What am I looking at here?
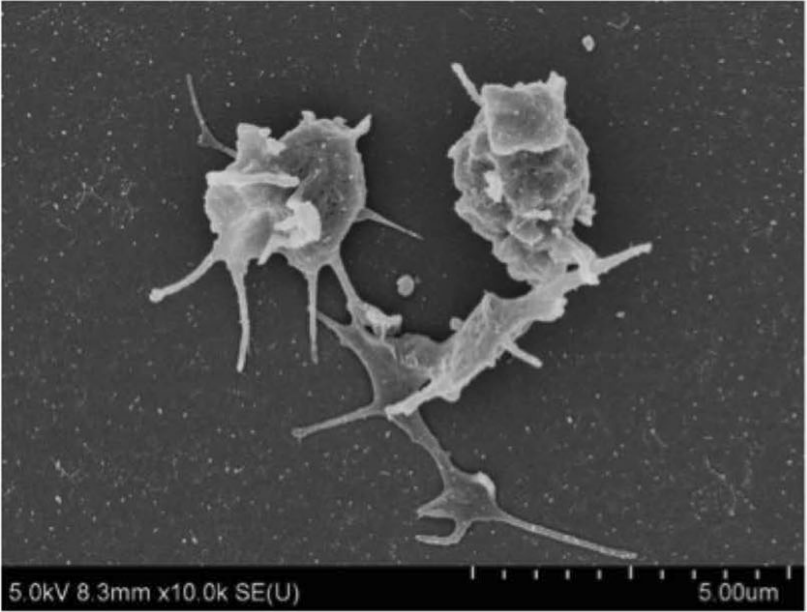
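A few platelets lie on a flat substrate, some with rounded, folded bodies and others spread flat. Slender pseudopods emerge from the margins of the cell bodies, several tapering to fine points and one forking at its end.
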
